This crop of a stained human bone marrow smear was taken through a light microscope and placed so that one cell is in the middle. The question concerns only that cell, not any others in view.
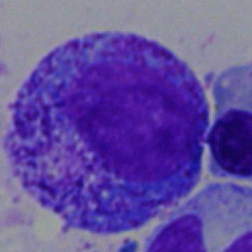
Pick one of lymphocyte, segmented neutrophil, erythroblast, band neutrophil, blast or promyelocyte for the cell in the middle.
promyelocyte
